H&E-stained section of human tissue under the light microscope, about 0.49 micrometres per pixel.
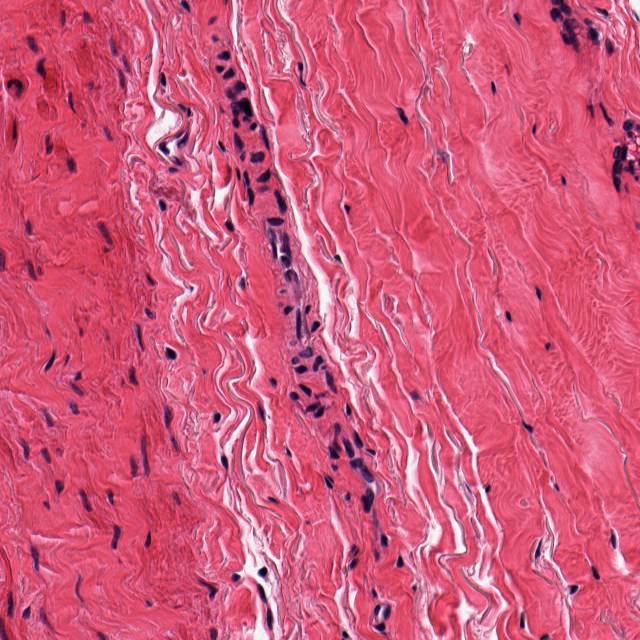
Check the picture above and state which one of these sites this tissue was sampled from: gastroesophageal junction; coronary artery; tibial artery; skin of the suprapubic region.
tibial artery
